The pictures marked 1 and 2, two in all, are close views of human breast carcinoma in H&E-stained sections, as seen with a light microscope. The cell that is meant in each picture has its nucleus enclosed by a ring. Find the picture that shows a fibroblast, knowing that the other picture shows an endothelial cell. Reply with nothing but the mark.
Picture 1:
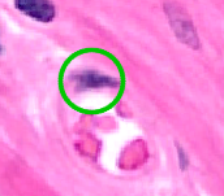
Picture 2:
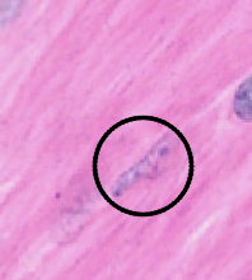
2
